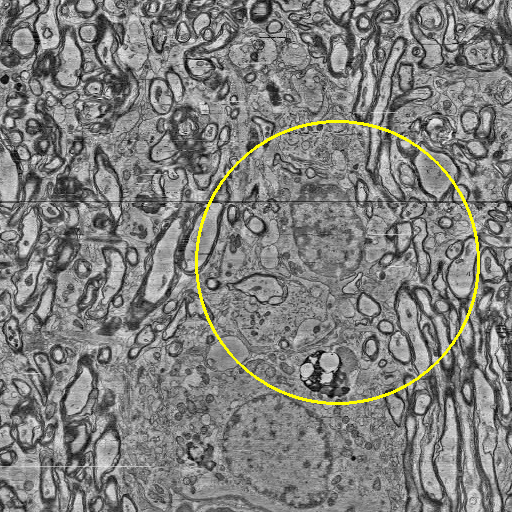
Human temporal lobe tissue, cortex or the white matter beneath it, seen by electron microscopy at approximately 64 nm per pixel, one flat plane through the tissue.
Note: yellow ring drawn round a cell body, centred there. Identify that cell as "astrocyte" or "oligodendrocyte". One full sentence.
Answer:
The cell in the middle of the ring is an oligodendrocyte.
